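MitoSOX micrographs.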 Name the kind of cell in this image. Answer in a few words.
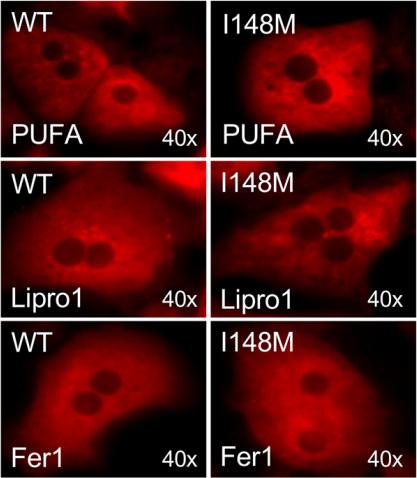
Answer: Hepatocytes.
